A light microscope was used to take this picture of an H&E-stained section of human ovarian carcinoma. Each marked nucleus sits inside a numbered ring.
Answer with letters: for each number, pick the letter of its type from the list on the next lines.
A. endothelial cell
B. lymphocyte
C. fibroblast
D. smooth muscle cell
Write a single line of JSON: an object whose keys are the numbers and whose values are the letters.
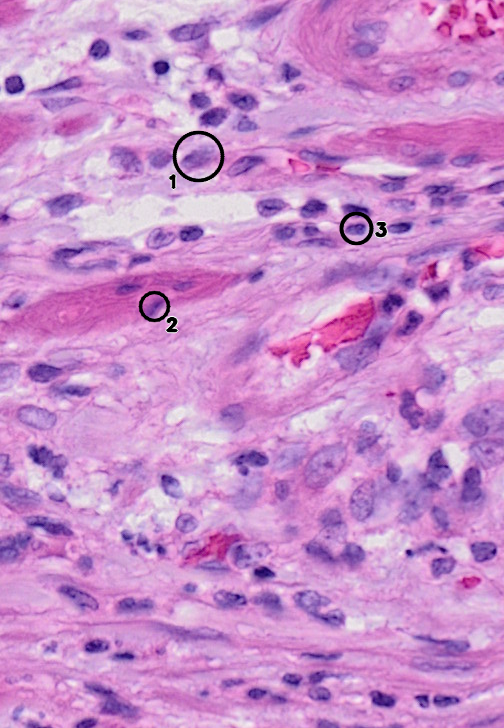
{"1": "C", "2": "D", "3": "B"}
